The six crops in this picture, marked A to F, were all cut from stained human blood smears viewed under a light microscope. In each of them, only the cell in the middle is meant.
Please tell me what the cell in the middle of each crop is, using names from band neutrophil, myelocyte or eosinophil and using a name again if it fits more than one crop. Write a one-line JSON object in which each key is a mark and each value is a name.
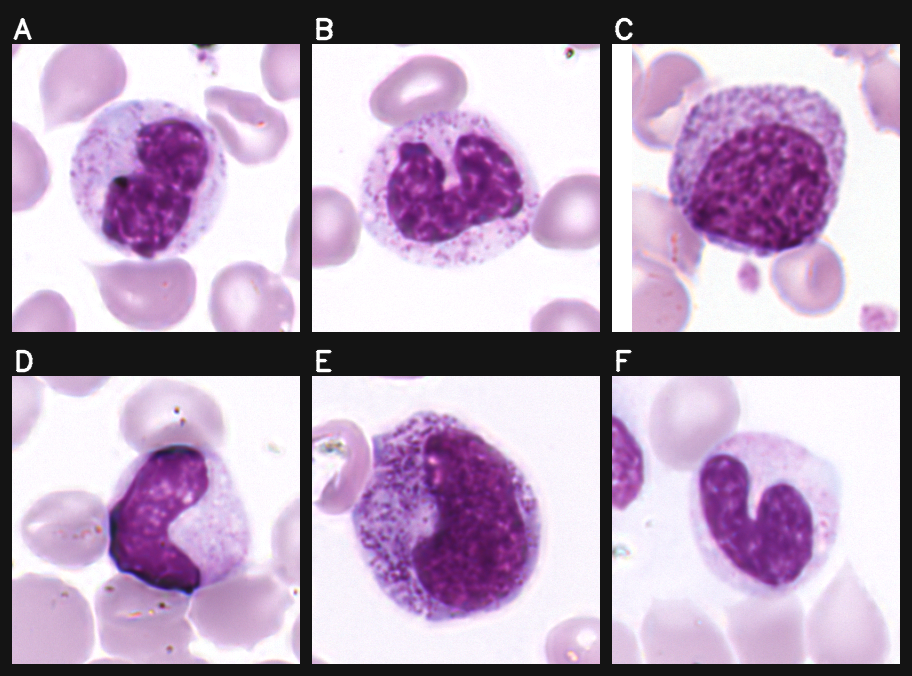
{"A": "band neutrophil", "B": "band neutrophil", "C": "myelocyte", "D": "band neutrophil", "E": "myelocyte", "F": "band neutrophil"}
